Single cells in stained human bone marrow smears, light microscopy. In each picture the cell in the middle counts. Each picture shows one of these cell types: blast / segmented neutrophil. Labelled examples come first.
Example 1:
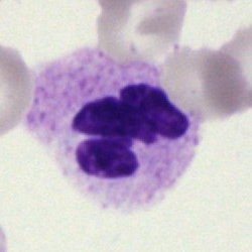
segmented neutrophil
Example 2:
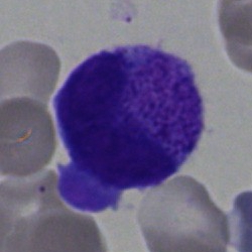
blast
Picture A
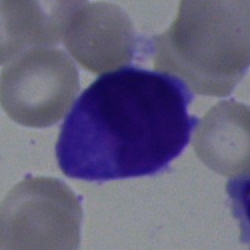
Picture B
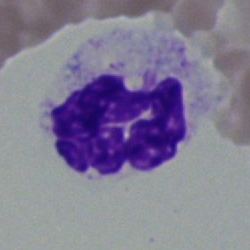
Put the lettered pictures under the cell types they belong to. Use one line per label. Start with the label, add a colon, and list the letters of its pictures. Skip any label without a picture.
blast: A
segmented neutrophil: B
